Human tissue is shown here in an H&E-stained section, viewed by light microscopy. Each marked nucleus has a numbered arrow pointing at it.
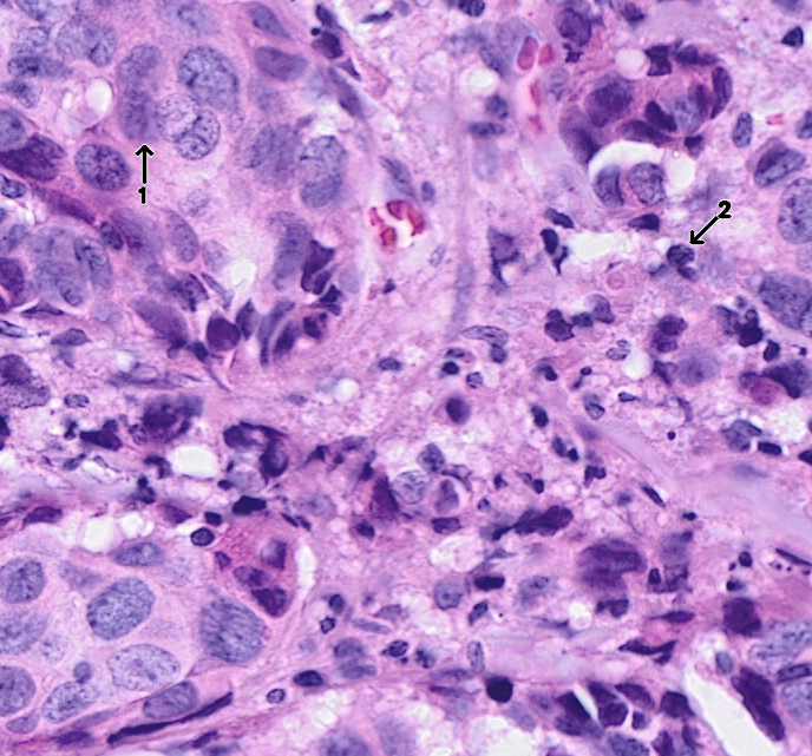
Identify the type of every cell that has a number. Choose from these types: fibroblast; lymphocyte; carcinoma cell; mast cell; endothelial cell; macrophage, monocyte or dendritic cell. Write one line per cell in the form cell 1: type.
cell 1: carcinoma cell
cell 2: lymphocyte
